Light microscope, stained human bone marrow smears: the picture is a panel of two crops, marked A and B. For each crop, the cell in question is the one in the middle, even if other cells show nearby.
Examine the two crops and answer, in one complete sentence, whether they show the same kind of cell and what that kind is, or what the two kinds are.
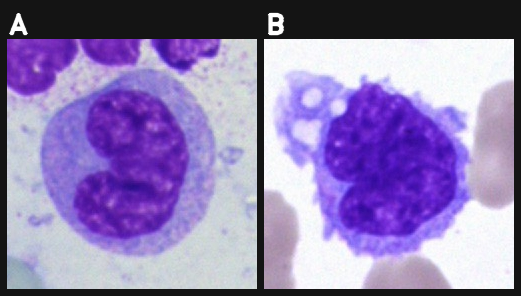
Yes, the cells in the centres of the two crops are monocytes.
